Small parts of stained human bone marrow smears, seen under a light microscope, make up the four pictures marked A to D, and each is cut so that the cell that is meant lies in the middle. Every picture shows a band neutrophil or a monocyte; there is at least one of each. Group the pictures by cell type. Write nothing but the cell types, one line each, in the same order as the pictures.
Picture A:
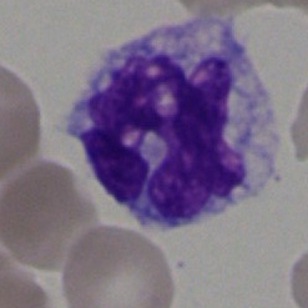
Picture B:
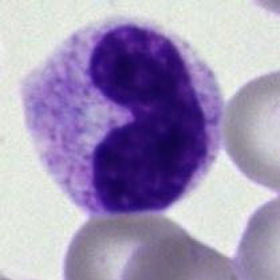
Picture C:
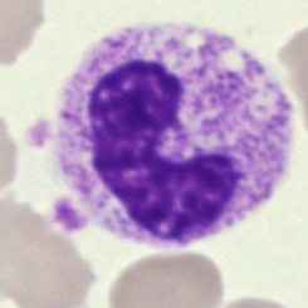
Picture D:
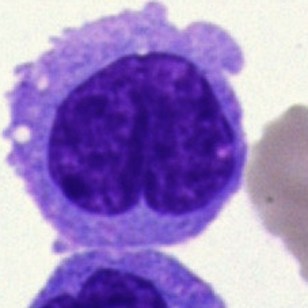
monocyte
band neutrophil
band neutrophil
monocyte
